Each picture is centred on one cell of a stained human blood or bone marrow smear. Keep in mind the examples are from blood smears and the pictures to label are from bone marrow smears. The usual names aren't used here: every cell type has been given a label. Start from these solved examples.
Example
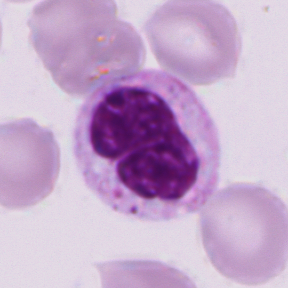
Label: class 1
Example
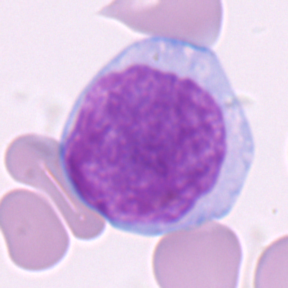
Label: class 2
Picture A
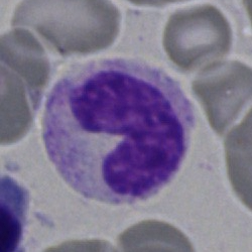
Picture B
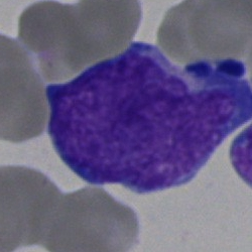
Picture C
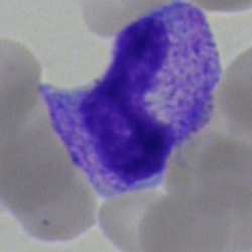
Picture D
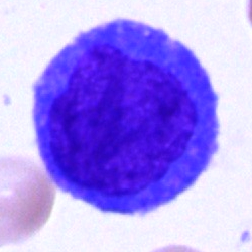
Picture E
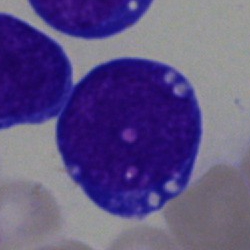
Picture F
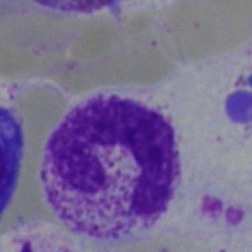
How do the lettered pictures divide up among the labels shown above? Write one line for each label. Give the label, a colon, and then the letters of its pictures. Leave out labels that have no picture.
class 1: A, C, F
class 2: B, D, E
